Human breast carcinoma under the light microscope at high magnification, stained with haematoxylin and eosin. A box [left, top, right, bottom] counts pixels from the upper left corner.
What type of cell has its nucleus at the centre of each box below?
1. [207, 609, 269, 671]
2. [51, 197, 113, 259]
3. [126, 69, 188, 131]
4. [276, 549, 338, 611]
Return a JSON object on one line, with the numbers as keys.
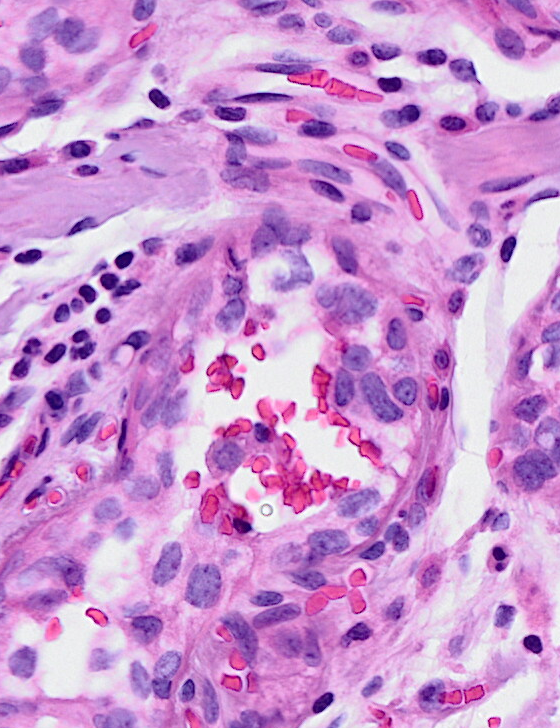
{"1": "endothelial cell", "2": "fibroblast", "3": "lymphocyte", "4": "endothelial cell"}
